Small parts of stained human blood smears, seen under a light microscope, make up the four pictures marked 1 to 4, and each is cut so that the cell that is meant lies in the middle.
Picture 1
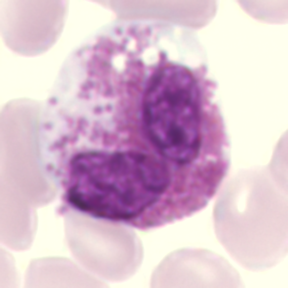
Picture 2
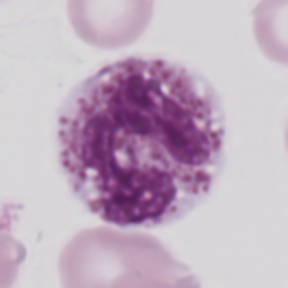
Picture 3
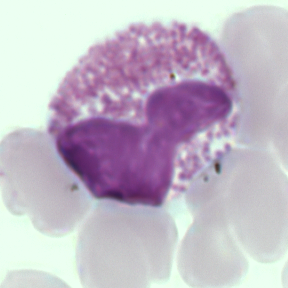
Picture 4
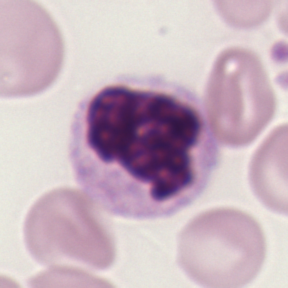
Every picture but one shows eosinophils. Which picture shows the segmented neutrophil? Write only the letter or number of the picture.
4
